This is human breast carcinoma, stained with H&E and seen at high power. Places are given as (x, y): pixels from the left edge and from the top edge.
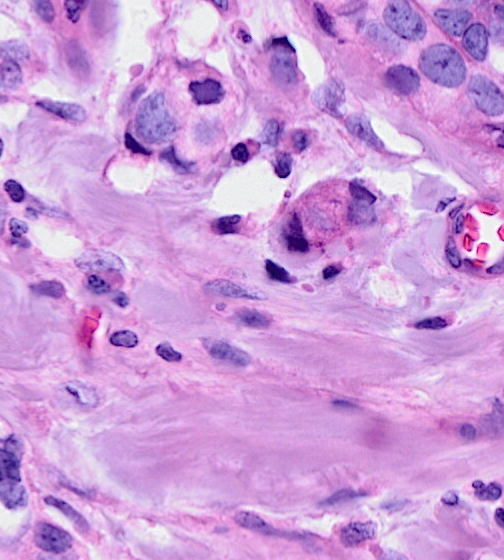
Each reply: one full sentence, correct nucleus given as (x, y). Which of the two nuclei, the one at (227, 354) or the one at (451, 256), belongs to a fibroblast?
The one nucleus of the two that belongs to a fibroblast is at (227, 354).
